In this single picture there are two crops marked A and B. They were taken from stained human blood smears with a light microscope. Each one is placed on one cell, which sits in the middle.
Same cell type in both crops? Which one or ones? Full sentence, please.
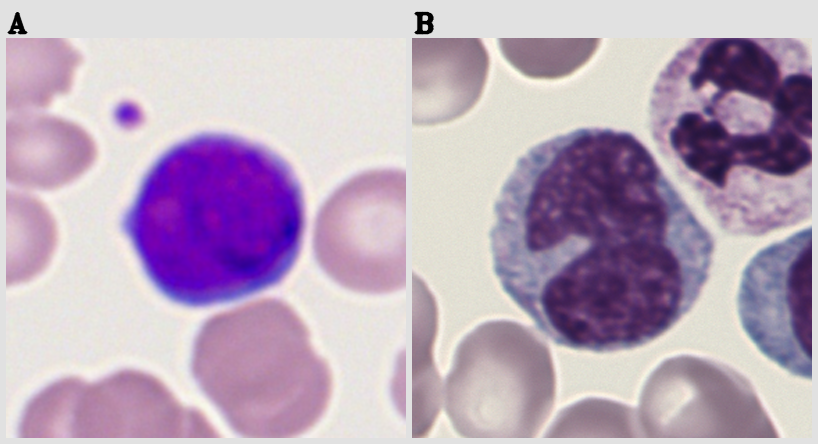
No, the middle of crop A shows a blast, and the middle of crop B shows a monocyte.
